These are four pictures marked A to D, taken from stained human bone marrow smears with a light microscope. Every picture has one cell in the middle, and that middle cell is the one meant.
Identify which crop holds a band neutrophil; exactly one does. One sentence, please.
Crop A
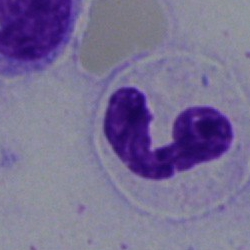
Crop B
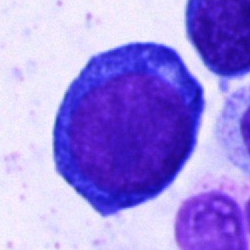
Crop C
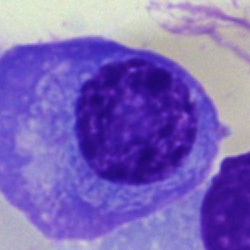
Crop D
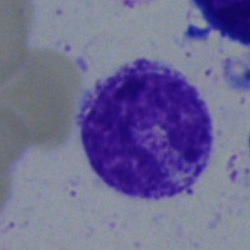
The one showing a band neutrophil is the crop labelled D.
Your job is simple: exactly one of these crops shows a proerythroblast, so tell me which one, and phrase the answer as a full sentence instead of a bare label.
The one crop in the set with a proerythroblast is crop B.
